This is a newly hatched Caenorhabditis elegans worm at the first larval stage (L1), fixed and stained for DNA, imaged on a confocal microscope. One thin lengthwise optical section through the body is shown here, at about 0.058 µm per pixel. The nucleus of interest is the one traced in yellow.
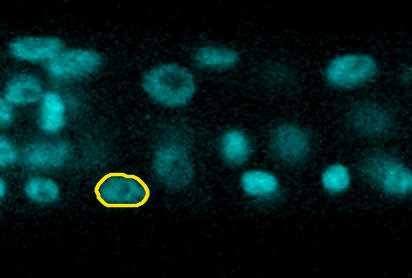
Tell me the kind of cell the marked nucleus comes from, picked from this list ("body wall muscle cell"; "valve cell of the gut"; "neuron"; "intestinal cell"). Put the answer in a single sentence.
The marked nucleus is that of a body wall muscle cell.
